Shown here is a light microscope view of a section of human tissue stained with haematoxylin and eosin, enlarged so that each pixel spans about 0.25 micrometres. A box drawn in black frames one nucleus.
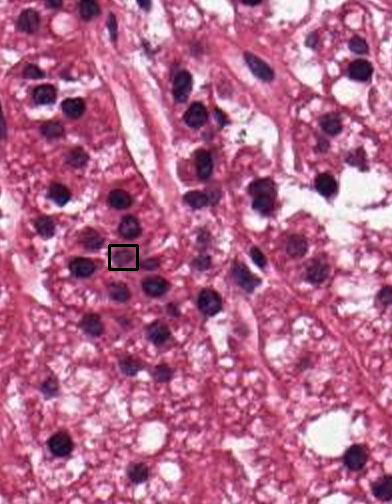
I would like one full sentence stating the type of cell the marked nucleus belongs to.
On this slide, the marked nucleus belongs to an adrenal cortical cell.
